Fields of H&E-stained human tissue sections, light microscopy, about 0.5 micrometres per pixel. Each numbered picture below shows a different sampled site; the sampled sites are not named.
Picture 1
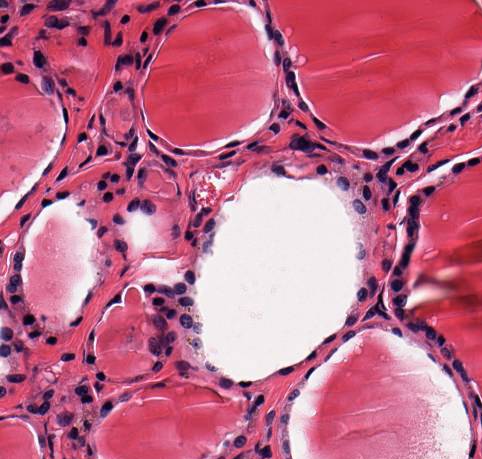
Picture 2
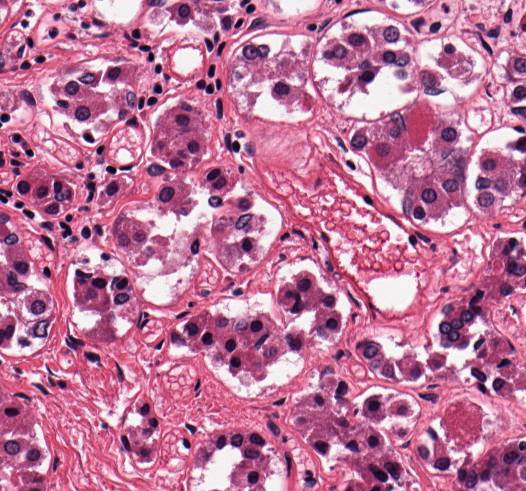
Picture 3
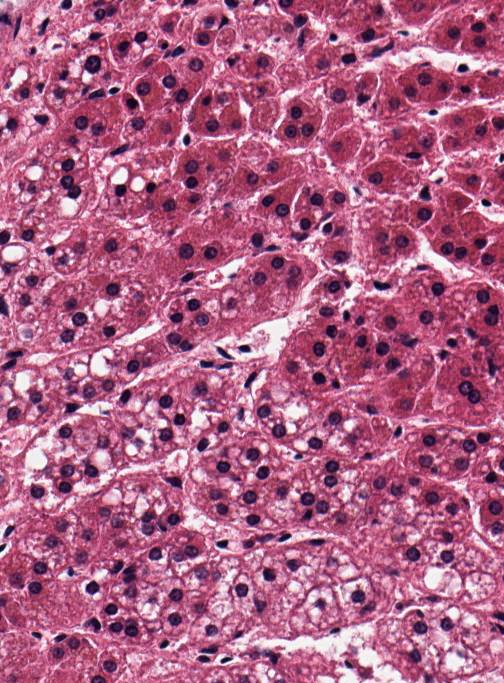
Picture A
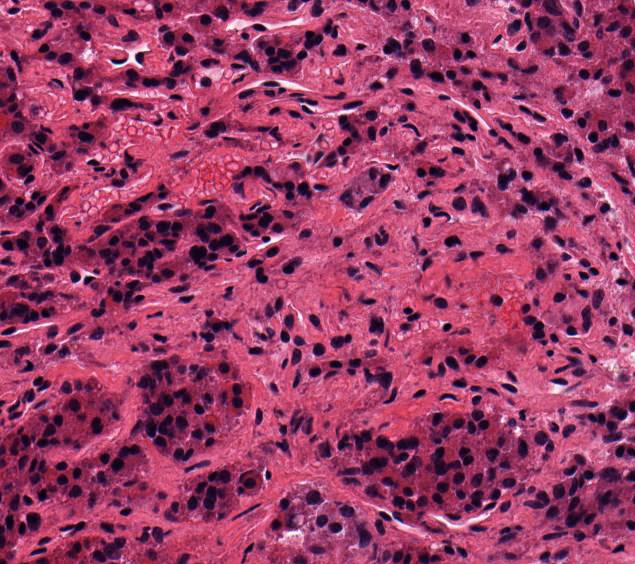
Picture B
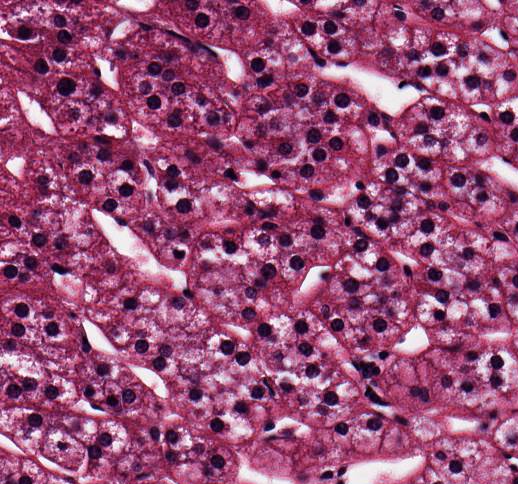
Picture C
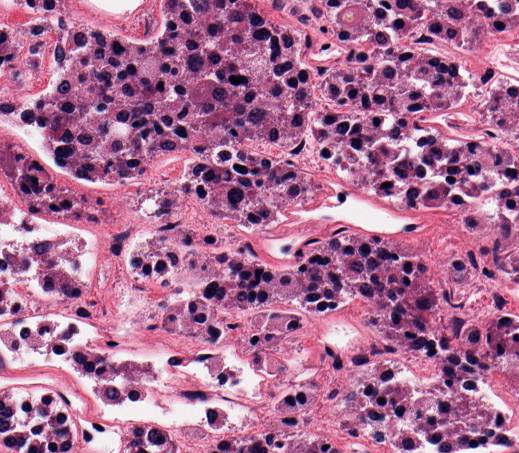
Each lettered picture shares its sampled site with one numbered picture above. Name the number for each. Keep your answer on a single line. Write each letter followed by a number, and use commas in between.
A 2, B 3, C 2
